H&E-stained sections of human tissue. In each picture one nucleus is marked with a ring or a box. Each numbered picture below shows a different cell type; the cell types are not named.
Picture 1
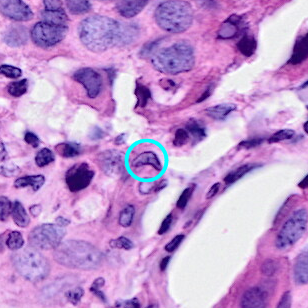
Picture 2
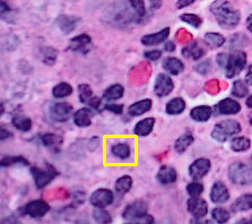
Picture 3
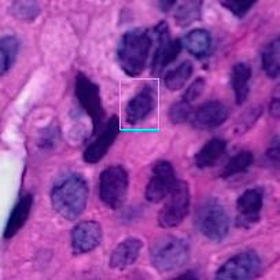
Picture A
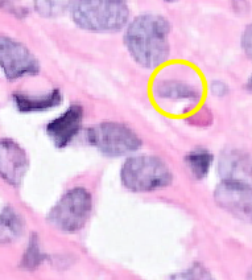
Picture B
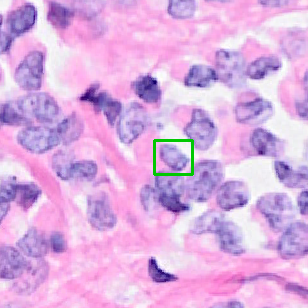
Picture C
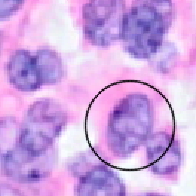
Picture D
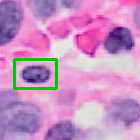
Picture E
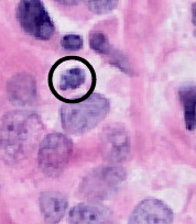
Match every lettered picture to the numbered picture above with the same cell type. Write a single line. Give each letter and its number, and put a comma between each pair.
A 1, B 3, C 3, D 2, E 2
